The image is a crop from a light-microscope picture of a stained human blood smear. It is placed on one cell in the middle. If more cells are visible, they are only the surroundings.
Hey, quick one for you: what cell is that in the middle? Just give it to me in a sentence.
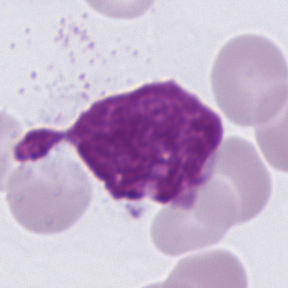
Classification of the middle cell gives a smudge cell.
